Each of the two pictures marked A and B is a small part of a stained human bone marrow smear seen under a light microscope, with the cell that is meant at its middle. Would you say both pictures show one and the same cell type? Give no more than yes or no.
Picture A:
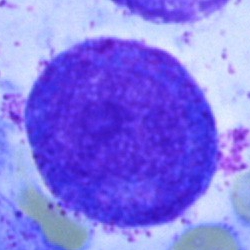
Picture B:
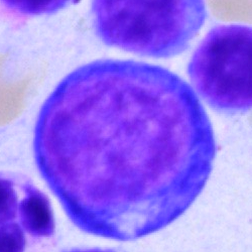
no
